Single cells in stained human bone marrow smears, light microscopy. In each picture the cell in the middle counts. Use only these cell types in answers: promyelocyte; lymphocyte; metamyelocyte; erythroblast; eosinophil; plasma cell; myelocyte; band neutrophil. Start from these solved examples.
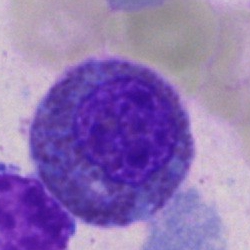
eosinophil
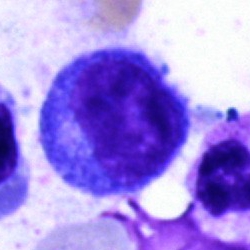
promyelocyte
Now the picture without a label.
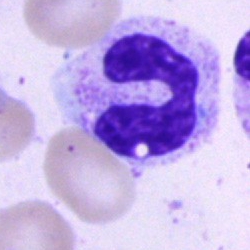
band neutrophil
